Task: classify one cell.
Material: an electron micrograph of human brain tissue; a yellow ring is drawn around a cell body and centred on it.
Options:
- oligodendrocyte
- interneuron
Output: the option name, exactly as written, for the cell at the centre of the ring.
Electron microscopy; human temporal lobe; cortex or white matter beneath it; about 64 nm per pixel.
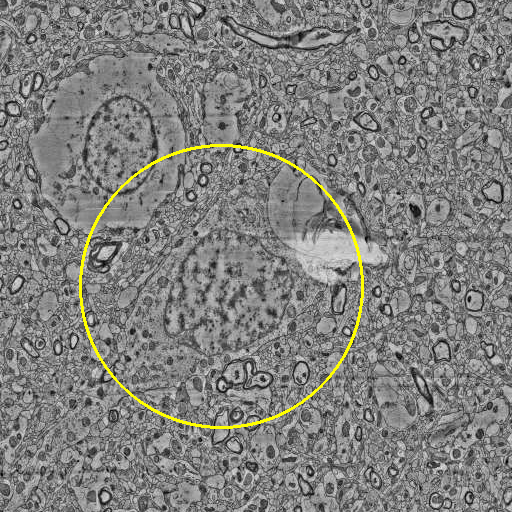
interneuron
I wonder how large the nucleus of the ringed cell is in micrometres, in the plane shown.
In this plane the nucleus is about 8 micrometres across.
